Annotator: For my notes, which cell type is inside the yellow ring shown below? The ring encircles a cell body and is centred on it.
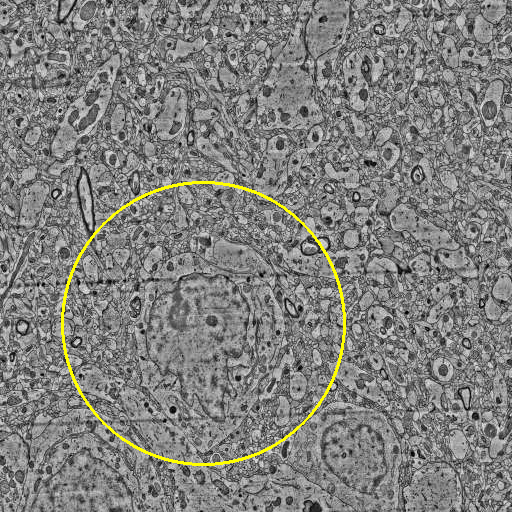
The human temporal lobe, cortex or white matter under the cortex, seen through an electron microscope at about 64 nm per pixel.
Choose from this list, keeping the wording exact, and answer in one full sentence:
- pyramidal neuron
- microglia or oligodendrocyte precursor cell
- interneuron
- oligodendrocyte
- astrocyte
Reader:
At the centre of the yellow ring there is an interneuron, as shown in the picture.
